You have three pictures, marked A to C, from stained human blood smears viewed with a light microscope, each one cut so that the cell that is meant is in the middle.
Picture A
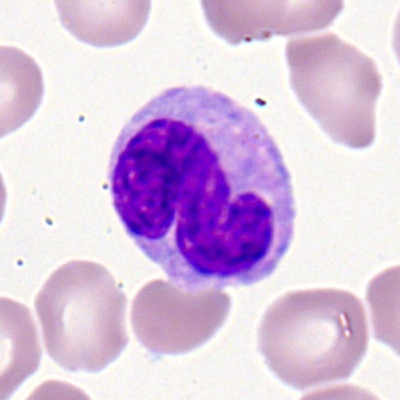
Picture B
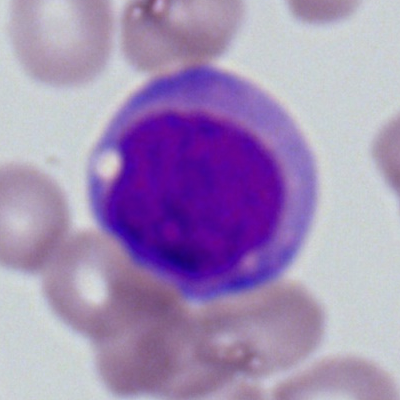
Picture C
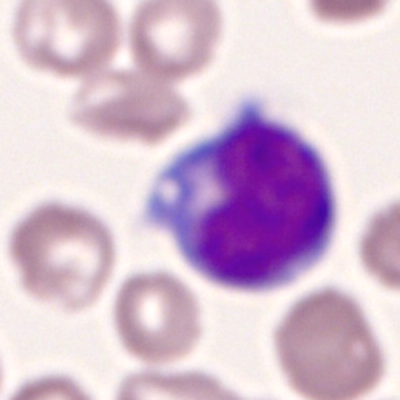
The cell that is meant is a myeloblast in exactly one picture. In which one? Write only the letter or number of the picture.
B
